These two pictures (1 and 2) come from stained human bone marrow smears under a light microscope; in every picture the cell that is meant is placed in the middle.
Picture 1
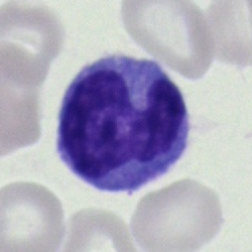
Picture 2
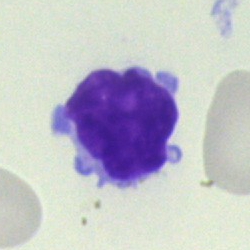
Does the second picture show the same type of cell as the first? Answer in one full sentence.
No; the cell in picture 1 is a monocyte, while the one in picture 2 is a lymphocyte.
